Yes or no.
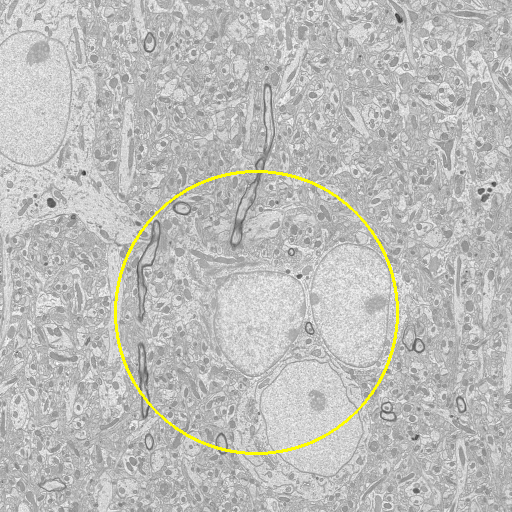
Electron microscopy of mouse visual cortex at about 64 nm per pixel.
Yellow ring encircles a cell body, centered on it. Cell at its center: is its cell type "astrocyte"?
yes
